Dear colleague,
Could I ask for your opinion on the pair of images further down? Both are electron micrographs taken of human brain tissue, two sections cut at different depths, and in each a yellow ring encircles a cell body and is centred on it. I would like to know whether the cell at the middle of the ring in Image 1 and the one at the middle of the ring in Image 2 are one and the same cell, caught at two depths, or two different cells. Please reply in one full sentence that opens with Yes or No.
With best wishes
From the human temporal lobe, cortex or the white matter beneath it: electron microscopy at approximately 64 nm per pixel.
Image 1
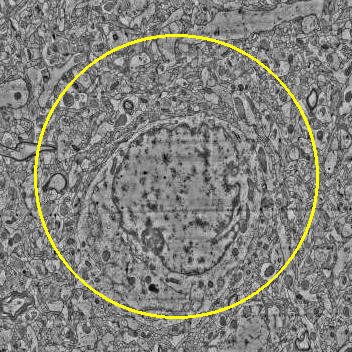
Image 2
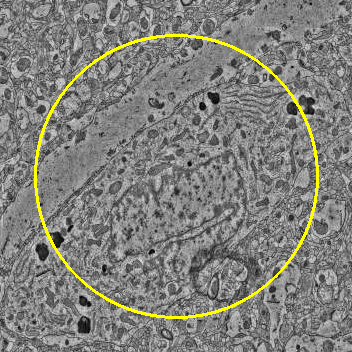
No, the cells inside the two rings are not the same cell.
